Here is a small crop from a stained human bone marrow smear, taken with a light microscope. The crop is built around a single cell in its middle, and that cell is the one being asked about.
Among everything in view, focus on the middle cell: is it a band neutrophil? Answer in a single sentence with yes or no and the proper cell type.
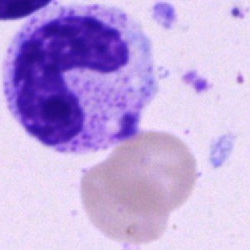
Yes, the cell centred in the field of view is a band neutrophil.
